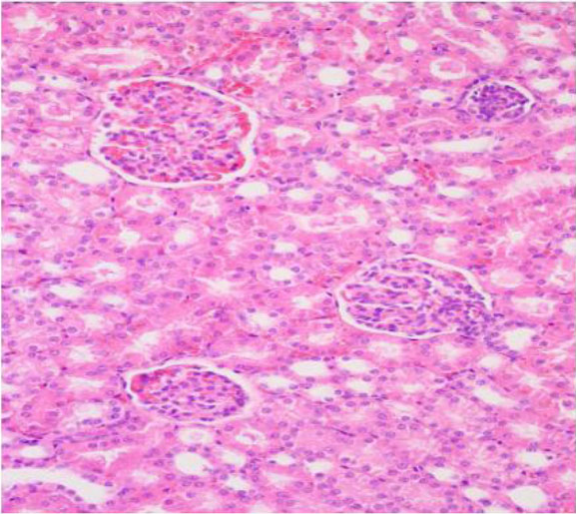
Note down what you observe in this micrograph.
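This is kidney cortex, with several round glomeruli of different sizes, each a compact tuft of capillary loops with many purple nuclei, enclosed by a thin capsule and a narrow clear space. Around them lie closely packed tubules, many cut across, lined by cuboidal pink cells with round purple nuclei around small pale lumens. The interstitium between the tubules is thin, and only a few small red spots of blood appear, so the tissue looks orderly and evenly pink, without the broad red streaks of packed blood cells.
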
